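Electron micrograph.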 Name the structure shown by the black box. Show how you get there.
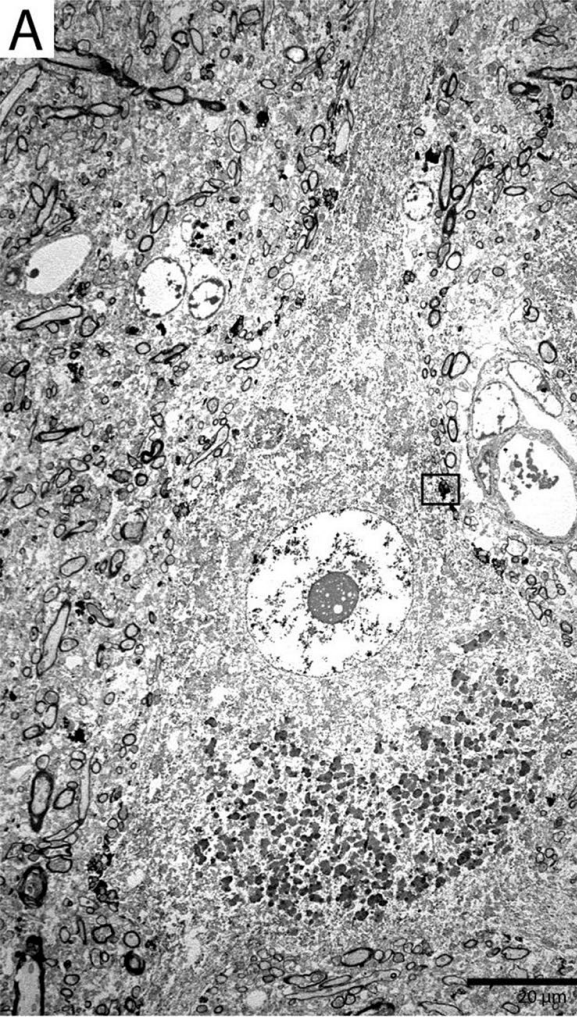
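The box encloses a small electron-dense profile. The dark profile lies at the edge of the large cell body. That points to this answer: perisomatic terminal.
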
